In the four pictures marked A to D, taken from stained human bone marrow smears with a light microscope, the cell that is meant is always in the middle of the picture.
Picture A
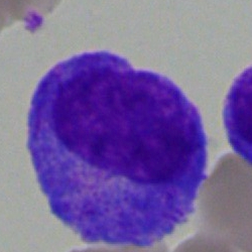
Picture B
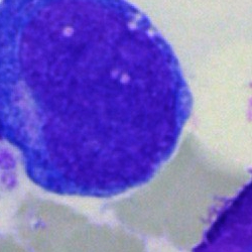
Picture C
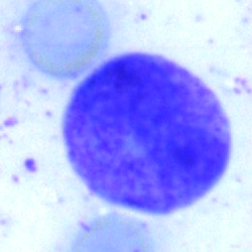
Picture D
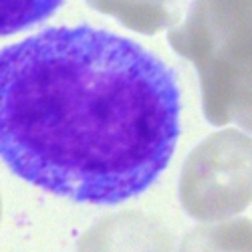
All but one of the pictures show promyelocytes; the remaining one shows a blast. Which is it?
B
